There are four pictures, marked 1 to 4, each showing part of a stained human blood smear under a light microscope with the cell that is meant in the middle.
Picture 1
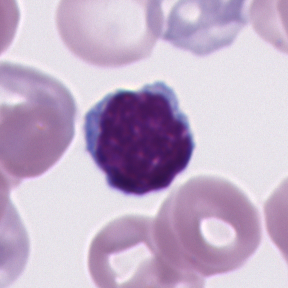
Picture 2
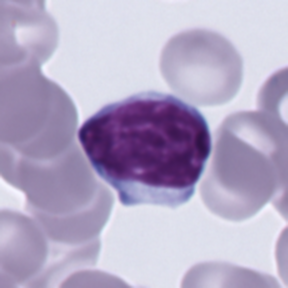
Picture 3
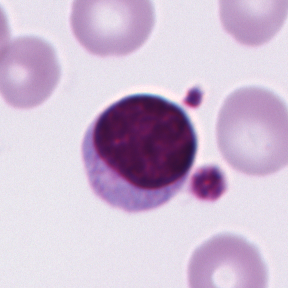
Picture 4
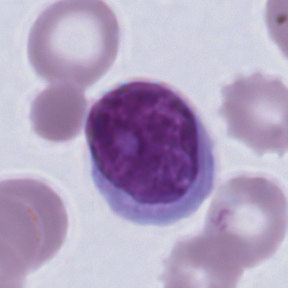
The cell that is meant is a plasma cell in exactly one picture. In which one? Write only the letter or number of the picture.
4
